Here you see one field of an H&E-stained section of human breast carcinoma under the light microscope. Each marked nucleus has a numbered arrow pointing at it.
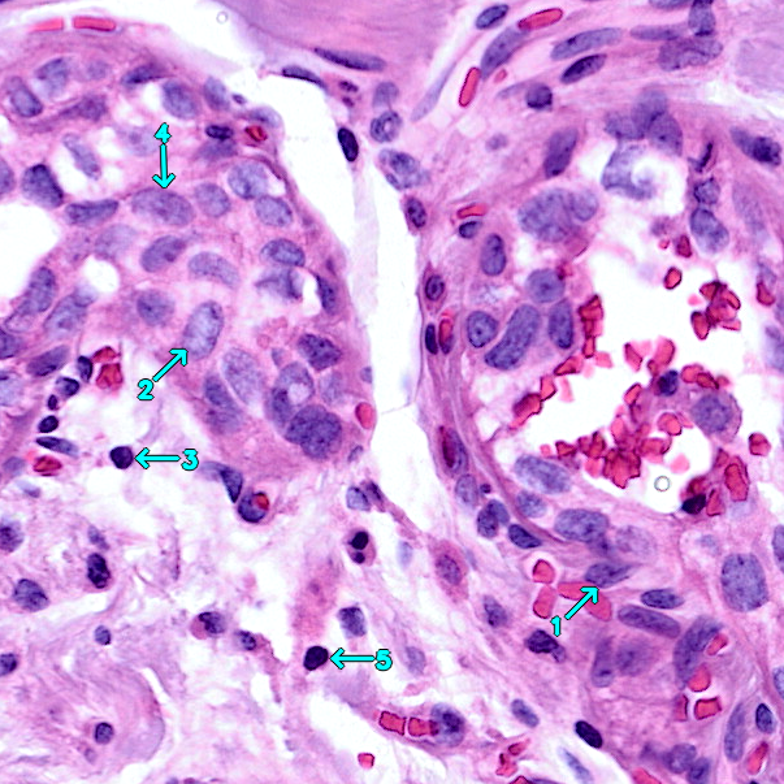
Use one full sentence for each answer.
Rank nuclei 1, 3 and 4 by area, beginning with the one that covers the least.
From smallest to largest, the order is 3, 1, 4.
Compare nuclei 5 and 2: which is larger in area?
Number 2 is larger; its area is about 3 times that of number 5.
